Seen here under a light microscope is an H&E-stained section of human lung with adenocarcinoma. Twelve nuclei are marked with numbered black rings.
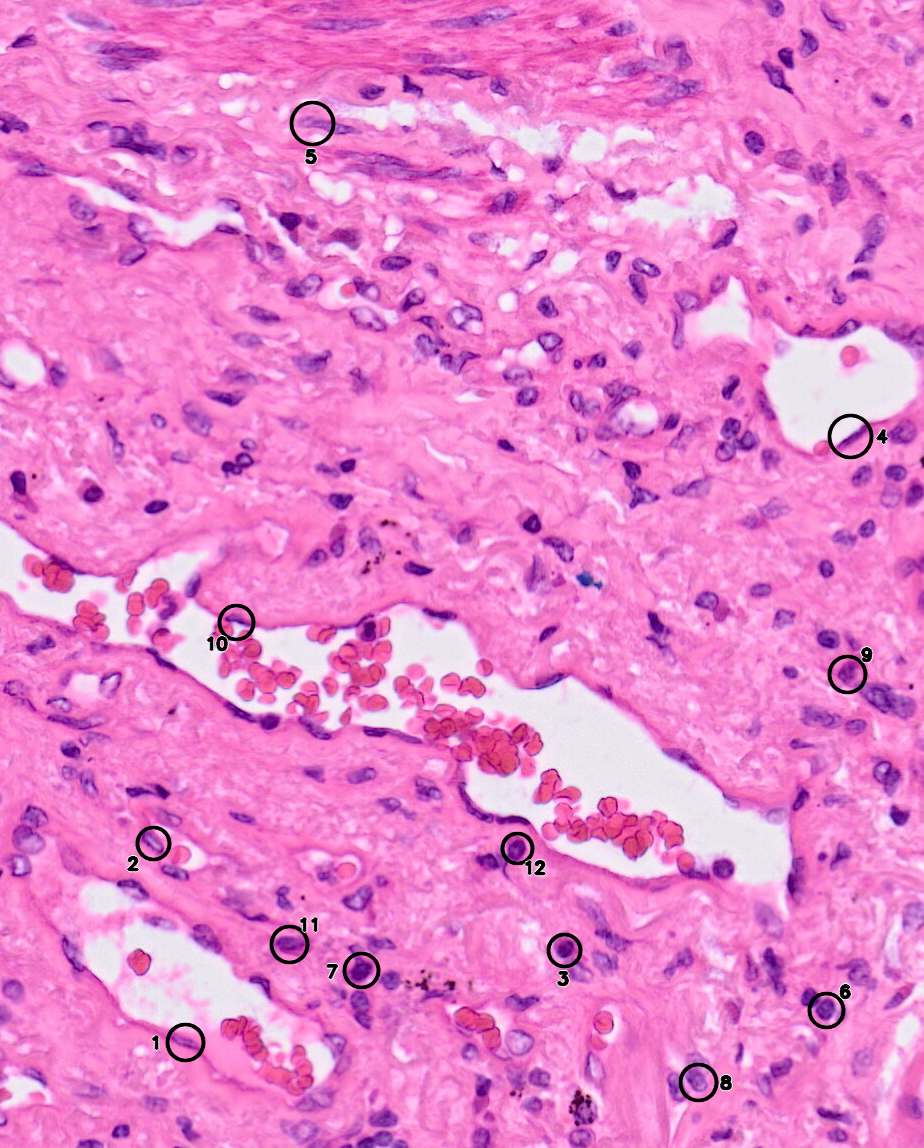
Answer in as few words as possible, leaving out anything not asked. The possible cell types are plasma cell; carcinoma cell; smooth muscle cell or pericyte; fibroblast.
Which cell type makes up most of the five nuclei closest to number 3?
fibroblast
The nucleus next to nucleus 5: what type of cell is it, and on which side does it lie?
a smooth muscle cell or pericyte to the right of nucleus 5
